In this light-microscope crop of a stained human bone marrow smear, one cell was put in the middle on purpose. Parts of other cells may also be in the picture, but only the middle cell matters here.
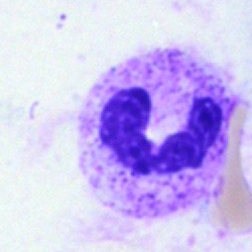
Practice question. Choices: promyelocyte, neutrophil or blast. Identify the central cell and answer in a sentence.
The cell of interest, located centrally, is a neutrophil.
